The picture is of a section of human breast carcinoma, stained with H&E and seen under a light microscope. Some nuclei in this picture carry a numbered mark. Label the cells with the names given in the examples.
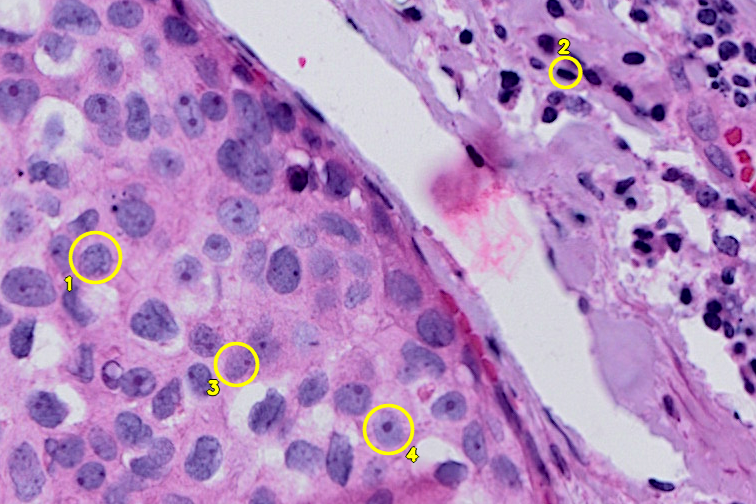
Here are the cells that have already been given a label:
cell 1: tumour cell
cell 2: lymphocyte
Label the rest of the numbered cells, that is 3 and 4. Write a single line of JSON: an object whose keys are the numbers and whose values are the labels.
{"3": "tumour cell", "4": "tumour cell"}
